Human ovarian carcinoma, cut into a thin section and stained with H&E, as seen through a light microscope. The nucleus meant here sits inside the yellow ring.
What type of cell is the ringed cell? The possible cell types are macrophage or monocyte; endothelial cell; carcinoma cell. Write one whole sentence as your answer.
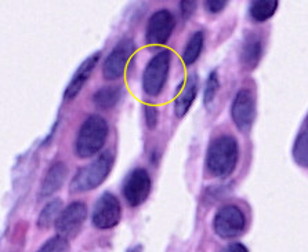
As classified here, the ringed cell is a carcinoma cell.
